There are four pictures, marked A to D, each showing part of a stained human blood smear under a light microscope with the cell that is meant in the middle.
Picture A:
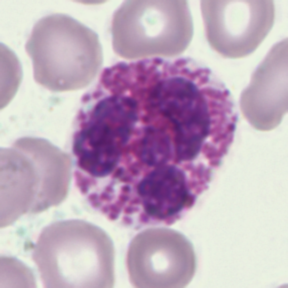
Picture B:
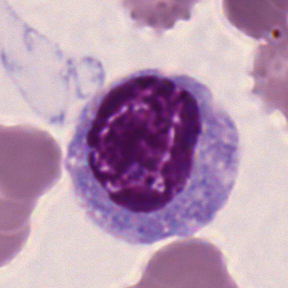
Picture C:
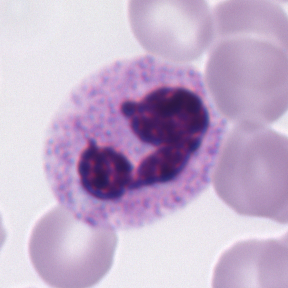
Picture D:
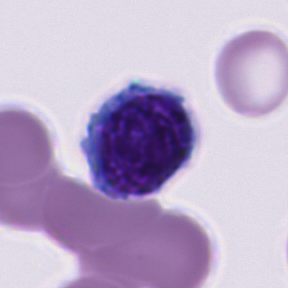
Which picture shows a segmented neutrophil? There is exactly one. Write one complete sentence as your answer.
It is picture C that shows the segmented neutrophil.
